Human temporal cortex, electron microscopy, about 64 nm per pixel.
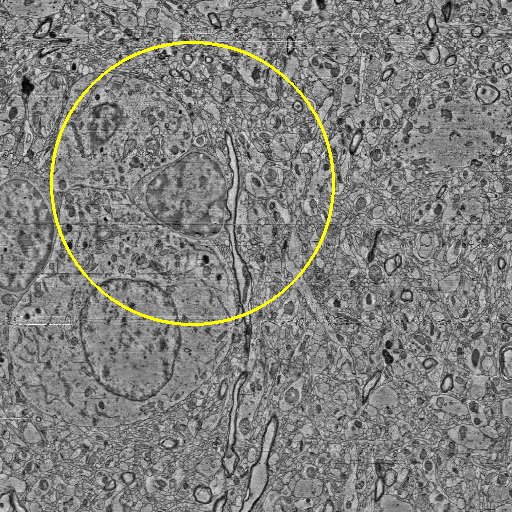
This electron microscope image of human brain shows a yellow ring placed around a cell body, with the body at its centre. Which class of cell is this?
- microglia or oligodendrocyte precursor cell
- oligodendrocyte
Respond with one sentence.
The cell body at the ring's centre is an oligodendrocyte.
